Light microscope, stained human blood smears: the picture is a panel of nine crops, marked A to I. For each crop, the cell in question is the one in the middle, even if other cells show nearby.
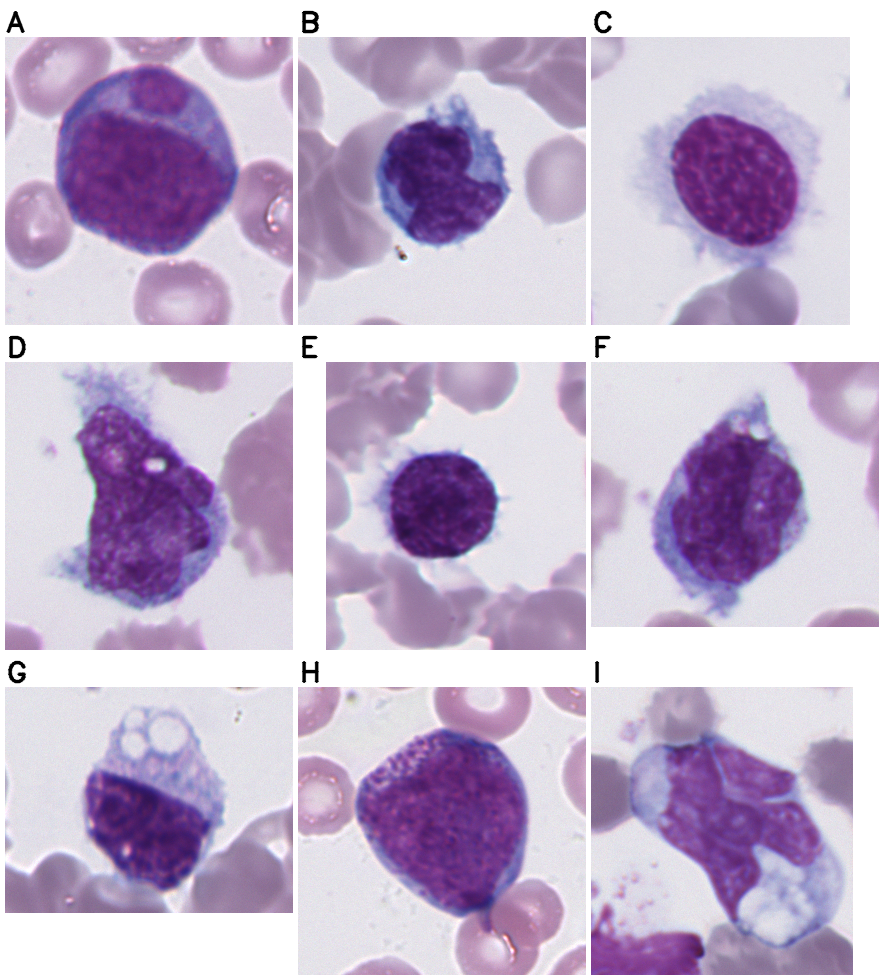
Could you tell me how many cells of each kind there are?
monocyte: 5
promyelocyte: 2
hairy cell: 2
